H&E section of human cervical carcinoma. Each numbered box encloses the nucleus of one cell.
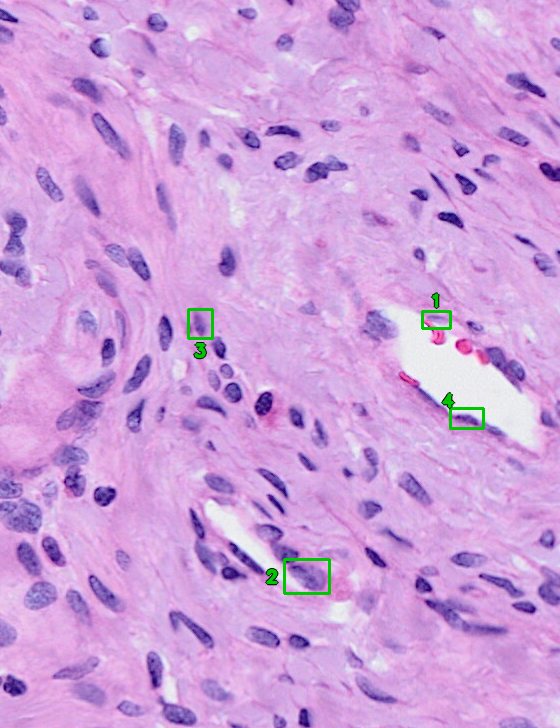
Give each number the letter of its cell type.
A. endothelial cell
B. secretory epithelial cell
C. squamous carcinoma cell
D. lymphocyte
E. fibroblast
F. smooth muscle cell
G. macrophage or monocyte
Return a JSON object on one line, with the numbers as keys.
{"1": "A", "2": "A", "3": "E", "4": "A"}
